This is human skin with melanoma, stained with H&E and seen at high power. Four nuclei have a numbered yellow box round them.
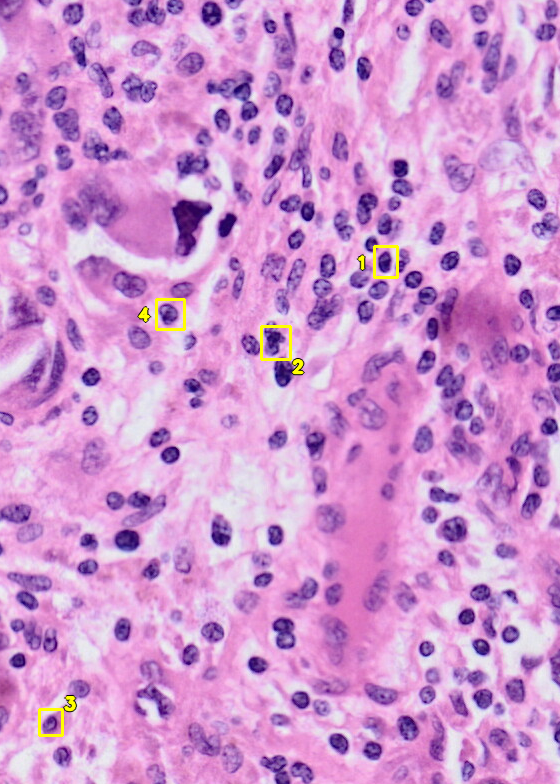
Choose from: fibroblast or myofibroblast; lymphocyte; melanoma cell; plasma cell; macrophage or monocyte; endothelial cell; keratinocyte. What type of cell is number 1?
lymphocyte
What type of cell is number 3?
macrophage or monocyte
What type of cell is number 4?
lymphocyte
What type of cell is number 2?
lymphocyte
